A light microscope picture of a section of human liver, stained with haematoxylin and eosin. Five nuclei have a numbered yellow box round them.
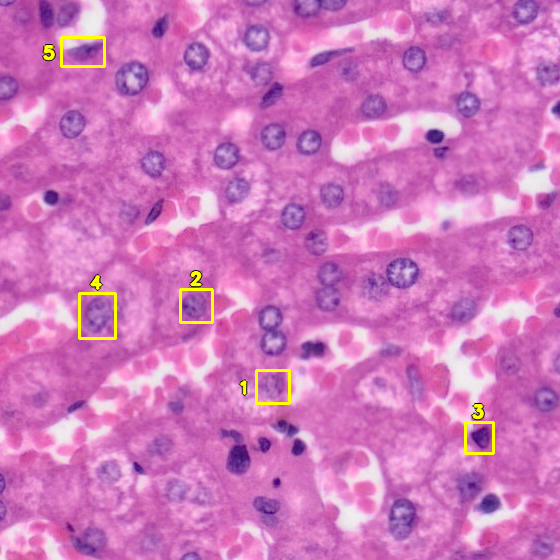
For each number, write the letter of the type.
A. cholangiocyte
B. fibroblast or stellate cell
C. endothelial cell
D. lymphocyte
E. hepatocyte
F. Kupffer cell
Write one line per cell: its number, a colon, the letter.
1: E
2: E
3: B
4: E
5: C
